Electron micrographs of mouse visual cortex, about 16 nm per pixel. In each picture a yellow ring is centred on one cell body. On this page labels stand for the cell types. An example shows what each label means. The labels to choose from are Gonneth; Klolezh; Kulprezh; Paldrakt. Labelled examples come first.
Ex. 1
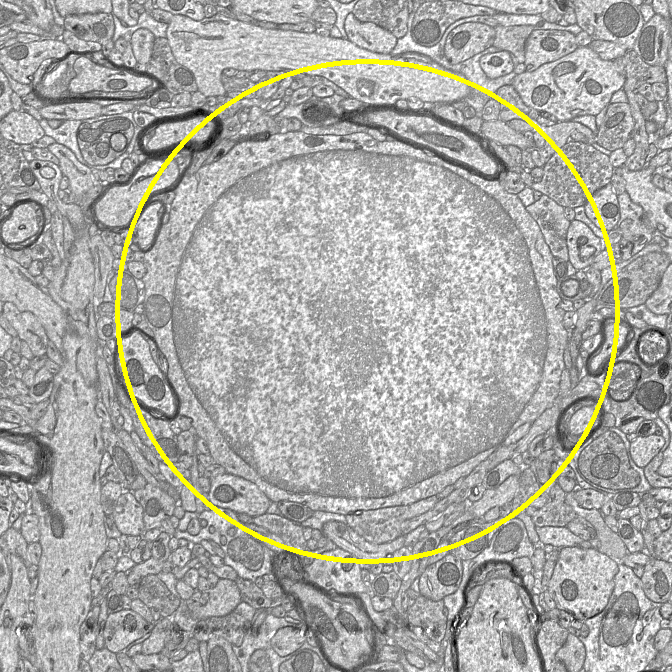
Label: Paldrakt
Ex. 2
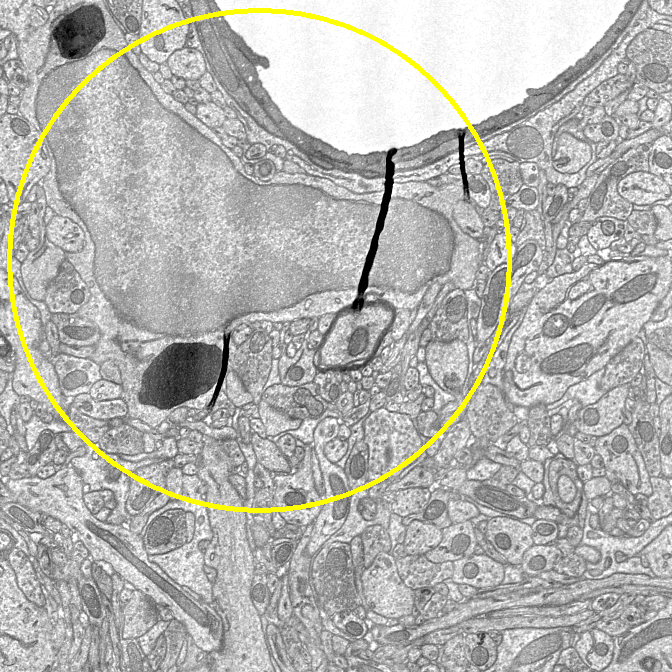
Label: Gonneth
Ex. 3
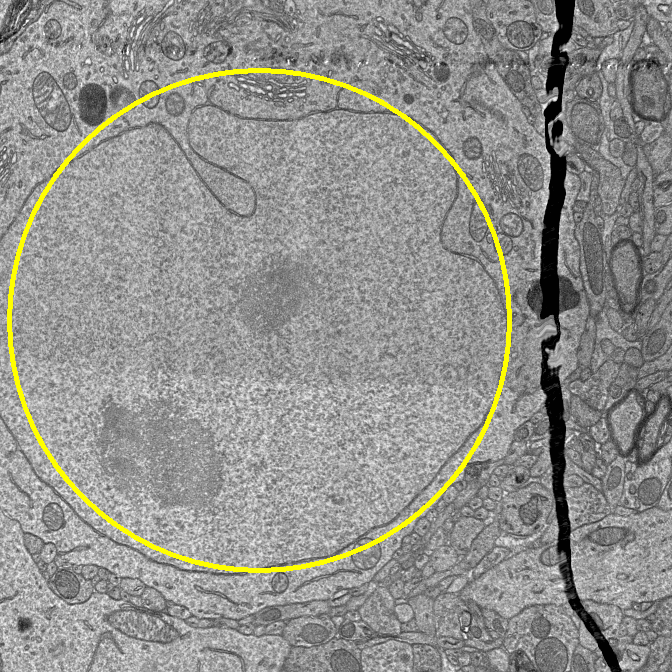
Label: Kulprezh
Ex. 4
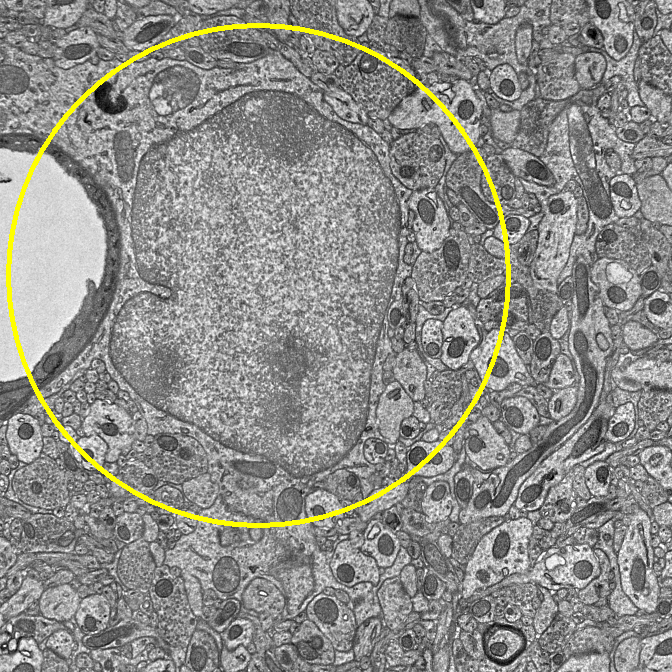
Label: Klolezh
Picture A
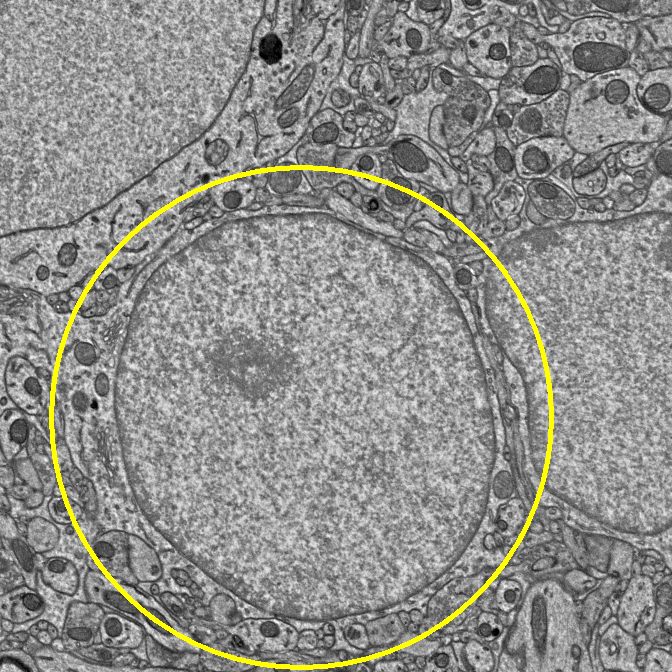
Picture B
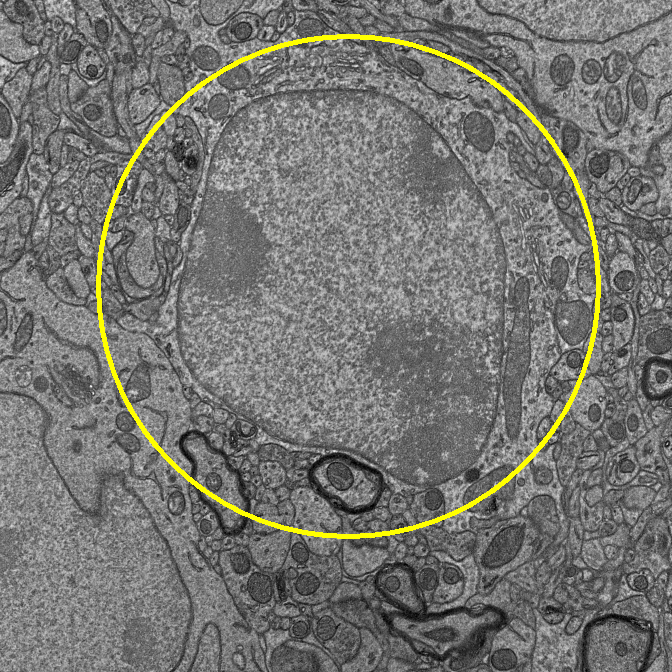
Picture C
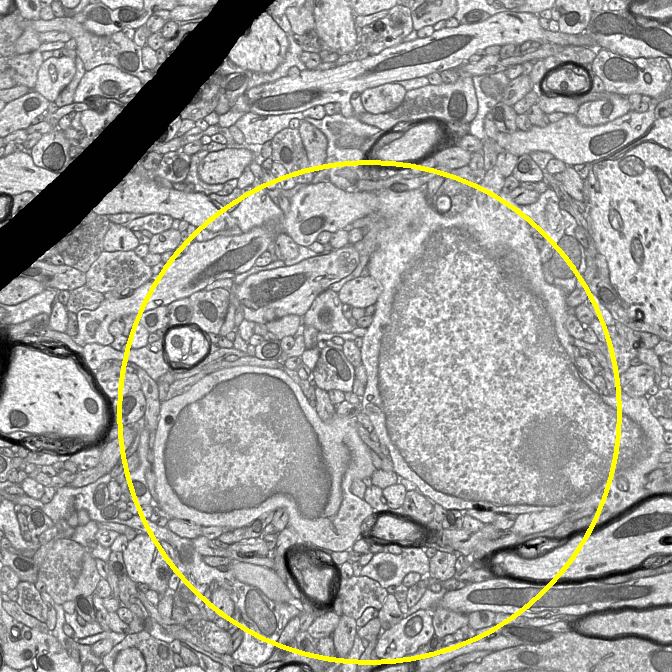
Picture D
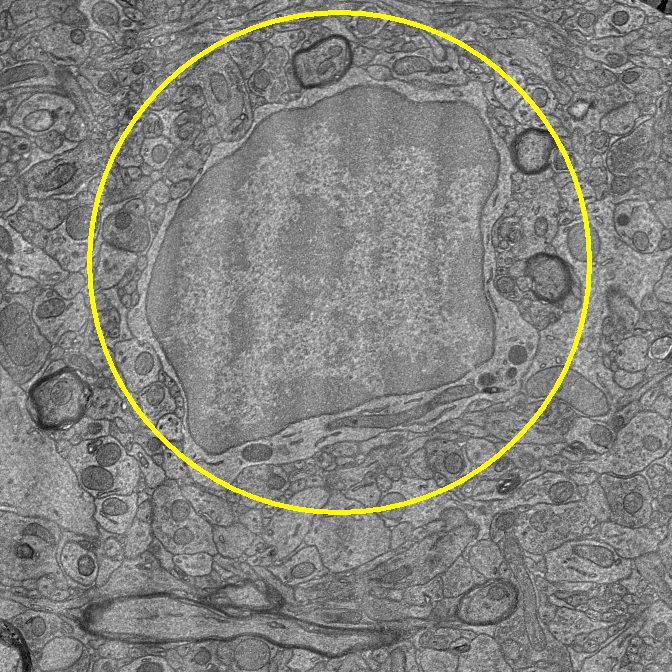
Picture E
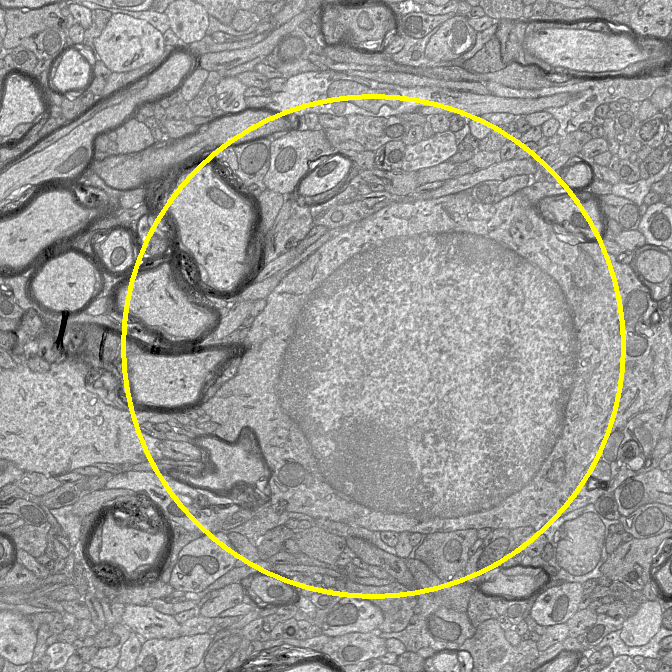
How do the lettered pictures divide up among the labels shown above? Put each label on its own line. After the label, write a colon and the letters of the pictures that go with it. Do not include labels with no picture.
Gonneth: C, D
Klolezh: A, B
Paldrakt: E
